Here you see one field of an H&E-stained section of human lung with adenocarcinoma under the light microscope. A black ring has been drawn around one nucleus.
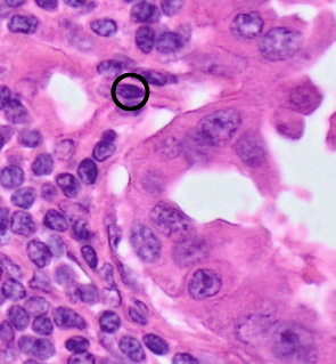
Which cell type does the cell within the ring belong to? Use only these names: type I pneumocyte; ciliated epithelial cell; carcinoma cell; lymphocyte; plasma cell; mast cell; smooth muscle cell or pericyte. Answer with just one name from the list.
lymphocyte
